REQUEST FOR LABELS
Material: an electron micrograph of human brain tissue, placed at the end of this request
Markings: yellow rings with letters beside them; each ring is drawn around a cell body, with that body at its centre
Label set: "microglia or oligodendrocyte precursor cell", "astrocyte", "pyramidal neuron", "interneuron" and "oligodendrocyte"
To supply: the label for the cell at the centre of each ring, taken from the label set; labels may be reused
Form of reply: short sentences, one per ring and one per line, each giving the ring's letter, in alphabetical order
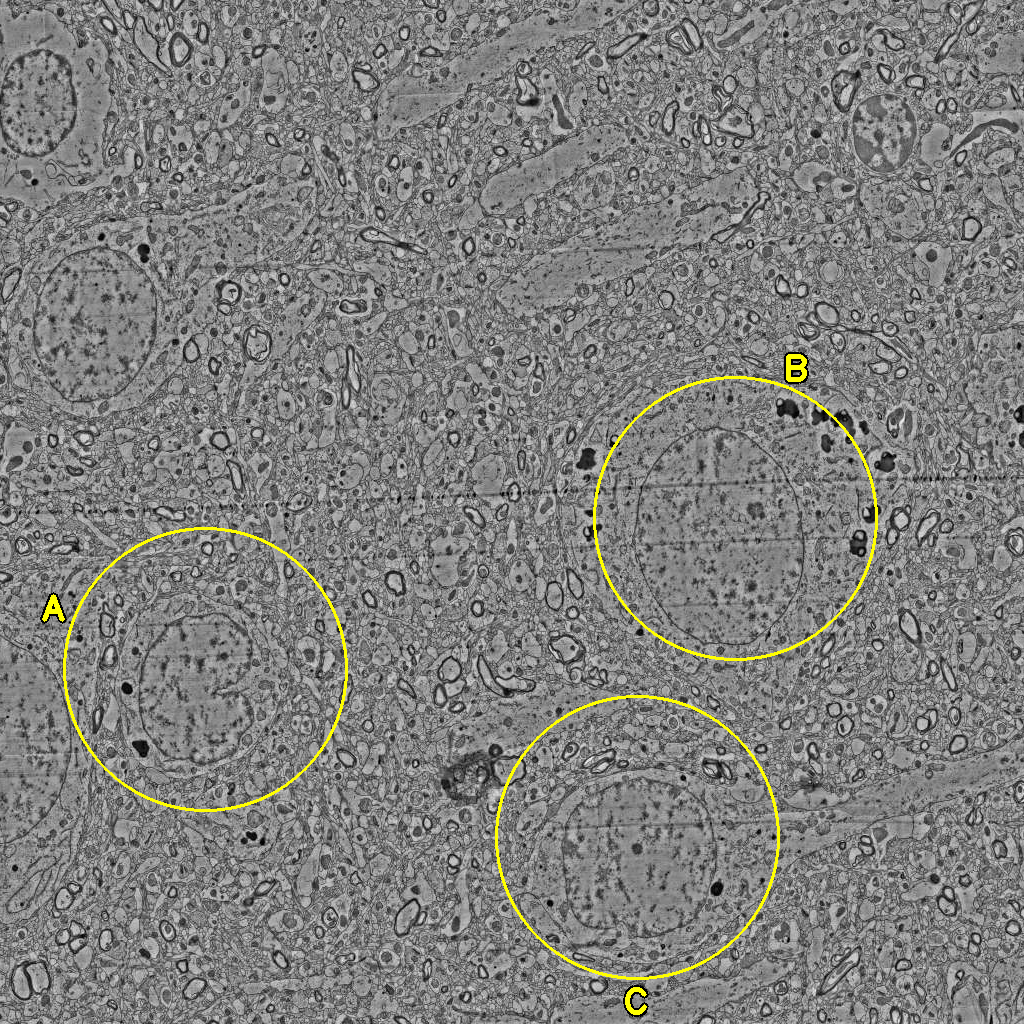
Ring A: the cell in the middle is an interneuron.
Ring B: the cell in the middle is a pyramidal neuron.
Ring C: the cell in the middle is a pyramidal neuron.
